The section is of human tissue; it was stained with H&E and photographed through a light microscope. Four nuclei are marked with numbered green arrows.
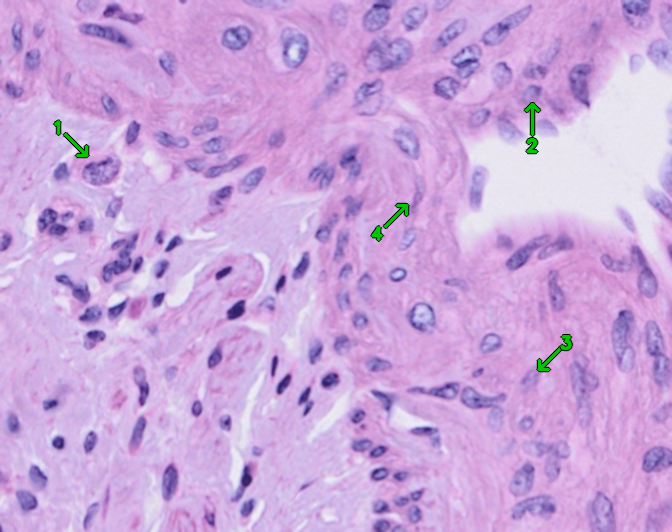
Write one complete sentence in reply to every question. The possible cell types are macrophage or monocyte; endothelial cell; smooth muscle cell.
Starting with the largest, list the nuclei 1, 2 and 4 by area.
By area, largest first, they run 1, 4, 2.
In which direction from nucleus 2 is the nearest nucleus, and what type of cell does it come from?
The closest nucleus belongs to a smooth muscle cell and sits above nucleus 2.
